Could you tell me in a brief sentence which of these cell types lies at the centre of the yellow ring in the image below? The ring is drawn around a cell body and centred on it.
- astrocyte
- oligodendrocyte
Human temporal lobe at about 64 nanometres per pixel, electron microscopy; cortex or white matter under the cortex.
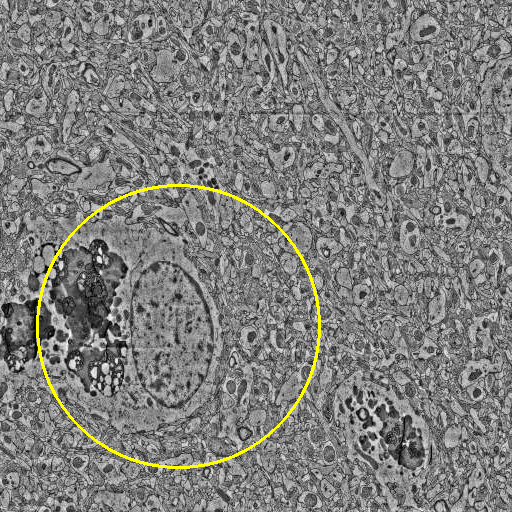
The cell centred in the ring is an astrocyte.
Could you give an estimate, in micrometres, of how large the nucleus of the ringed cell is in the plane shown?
The nucleus measures about 9 by 5 micrometres, so it is clearly longer than it is wide in this plane.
